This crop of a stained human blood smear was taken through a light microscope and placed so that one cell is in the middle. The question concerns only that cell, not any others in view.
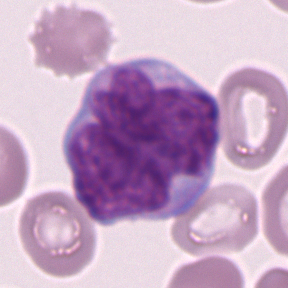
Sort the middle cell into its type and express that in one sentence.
The cell in the exact centre of the crop is an atypical promyelocyte.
